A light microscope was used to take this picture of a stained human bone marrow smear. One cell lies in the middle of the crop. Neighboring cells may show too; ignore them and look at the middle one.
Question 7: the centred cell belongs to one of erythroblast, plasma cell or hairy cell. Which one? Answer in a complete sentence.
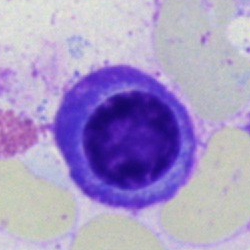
The middle of this crop is occupied by a plasma cell.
